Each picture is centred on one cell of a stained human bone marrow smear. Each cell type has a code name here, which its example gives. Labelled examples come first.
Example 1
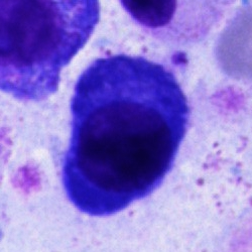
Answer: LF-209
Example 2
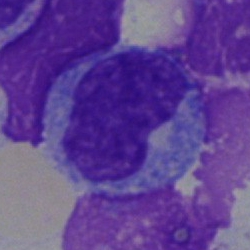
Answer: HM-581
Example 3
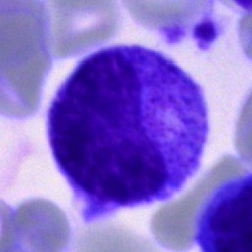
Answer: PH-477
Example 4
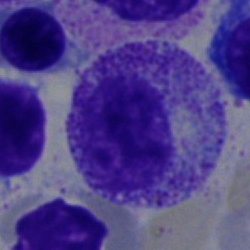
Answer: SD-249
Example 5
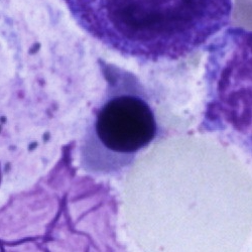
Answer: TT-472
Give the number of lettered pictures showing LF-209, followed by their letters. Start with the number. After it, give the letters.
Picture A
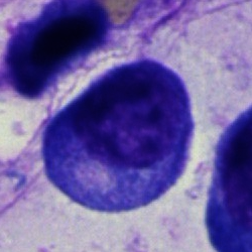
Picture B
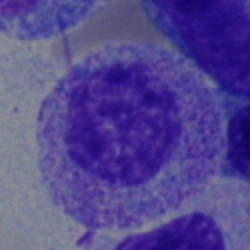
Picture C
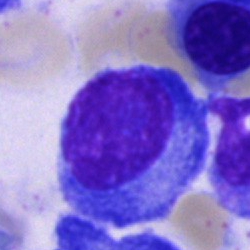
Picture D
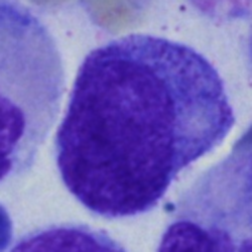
2, namely A, C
